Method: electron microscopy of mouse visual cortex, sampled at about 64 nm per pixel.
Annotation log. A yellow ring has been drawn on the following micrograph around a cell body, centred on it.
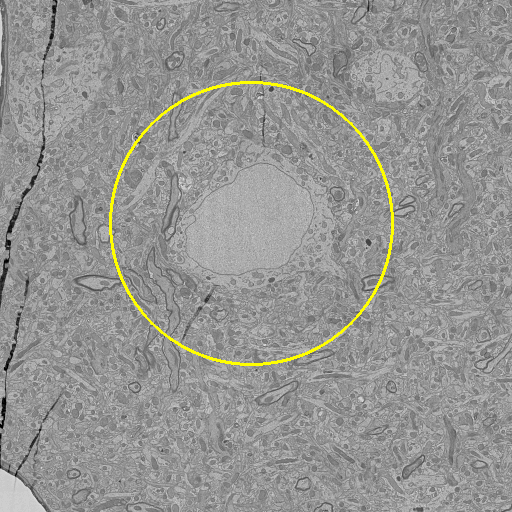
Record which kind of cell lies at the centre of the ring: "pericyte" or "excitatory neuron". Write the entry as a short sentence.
The cell the ring is centred on is an excitatory neuron.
